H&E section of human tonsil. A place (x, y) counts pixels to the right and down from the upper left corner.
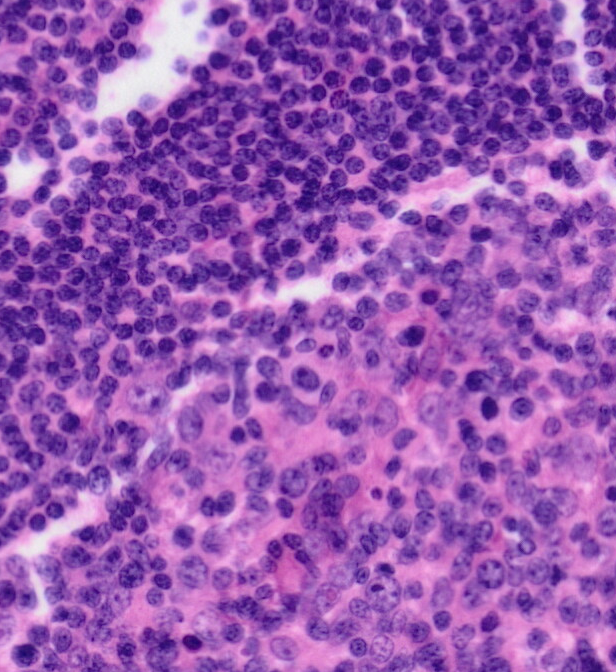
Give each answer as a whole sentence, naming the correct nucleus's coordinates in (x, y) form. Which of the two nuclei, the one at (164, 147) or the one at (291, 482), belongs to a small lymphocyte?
Between the pair, the nucleus at (164, 147) belongs to a small lymphocyte.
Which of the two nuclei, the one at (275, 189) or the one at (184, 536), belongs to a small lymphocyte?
Of the two nuclei, that at (275, 189) is the nucleus of a small lymphocyte.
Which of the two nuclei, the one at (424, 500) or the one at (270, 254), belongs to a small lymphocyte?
The nucleus situated at (270, 254) is the one belonging to a small lymphocyte.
